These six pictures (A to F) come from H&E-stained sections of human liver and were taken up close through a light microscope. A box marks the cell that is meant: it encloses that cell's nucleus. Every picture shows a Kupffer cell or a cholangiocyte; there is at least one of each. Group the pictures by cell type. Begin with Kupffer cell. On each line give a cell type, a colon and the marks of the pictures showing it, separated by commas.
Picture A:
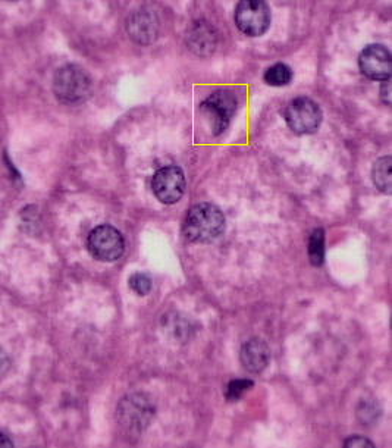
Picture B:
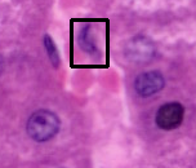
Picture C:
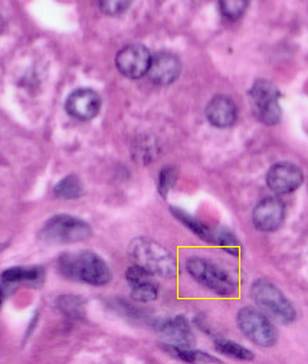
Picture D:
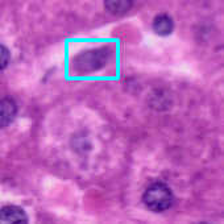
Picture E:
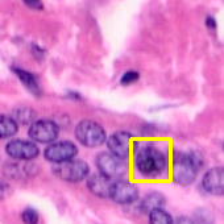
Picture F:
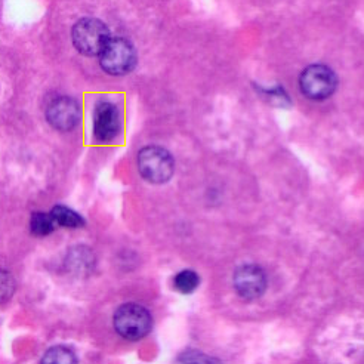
Kupffer cell: A, B, D, F
cholangiocyte: C, E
